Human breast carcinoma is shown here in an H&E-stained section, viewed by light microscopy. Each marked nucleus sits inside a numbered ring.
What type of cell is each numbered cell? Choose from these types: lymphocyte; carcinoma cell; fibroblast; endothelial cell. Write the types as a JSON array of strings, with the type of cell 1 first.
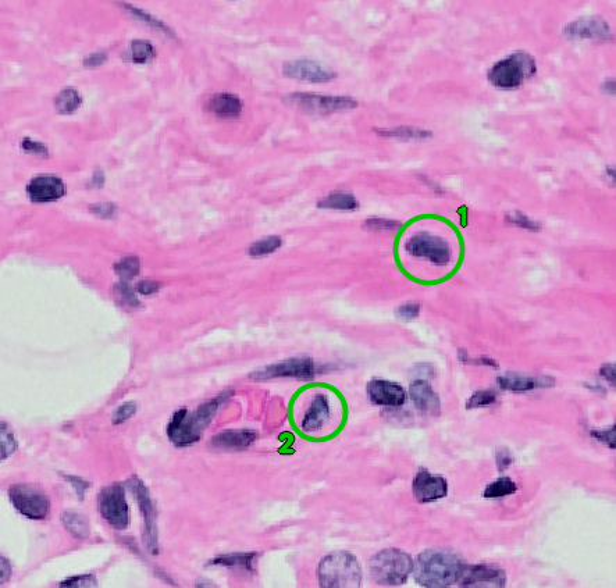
["lymphocyte", "endothelial cell"]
